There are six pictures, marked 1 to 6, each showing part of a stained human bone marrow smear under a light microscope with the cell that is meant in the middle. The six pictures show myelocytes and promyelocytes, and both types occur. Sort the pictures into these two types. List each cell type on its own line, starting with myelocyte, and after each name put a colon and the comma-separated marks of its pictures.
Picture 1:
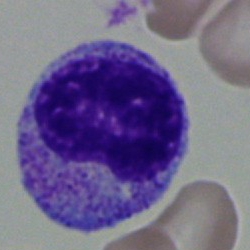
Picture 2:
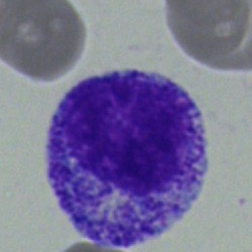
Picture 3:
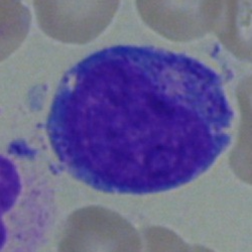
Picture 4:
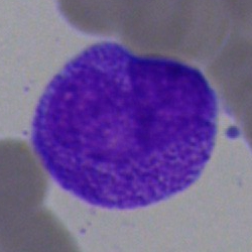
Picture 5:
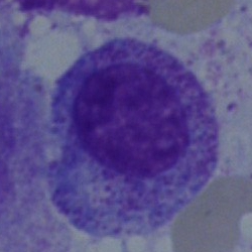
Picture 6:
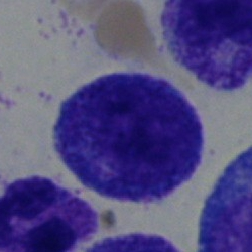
myelocyte: 1, 2, 5
promyelocyte: 3, 4, 6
